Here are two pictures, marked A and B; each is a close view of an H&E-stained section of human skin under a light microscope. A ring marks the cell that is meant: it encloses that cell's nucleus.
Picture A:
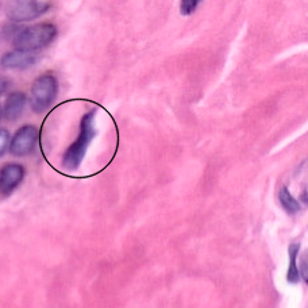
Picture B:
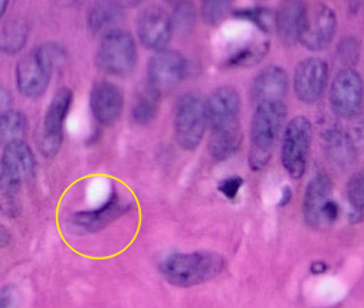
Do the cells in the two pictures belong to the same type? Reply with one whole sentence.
Yes, they are the same type: both are fibroblasts.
